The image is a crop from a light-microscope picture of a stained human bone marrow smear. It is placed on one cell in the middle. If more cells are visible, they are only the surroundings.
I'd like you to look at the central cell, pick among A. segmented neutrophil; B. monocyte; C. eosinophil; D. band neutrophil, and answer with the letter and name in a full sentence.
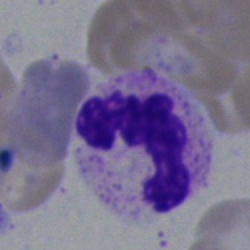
Option A is the keyed answer: the cell in the middle is a segmented neutrophil.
